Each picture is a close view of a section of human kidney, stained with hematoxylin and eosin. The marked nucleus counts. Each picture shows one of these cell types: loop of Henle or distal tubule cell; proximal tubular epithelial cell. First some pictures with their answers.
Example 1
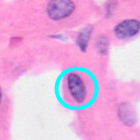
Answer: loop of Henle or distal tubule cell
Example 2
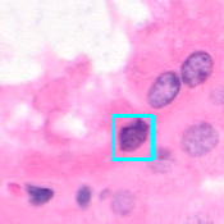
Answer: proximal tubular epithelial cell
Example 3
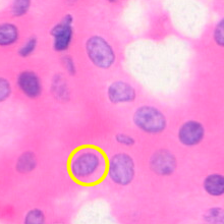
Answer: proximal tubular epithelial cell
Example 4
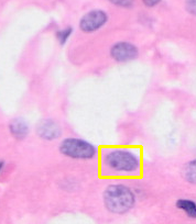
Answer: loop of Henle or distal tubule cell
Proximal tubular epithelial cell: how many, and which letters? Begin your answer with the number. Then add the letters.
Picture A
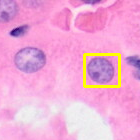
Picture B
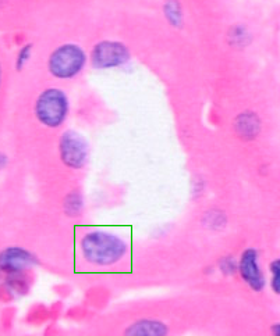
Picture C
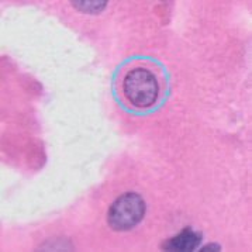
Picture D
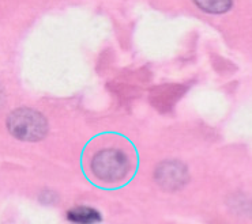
Count: 3 (A, C, D)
